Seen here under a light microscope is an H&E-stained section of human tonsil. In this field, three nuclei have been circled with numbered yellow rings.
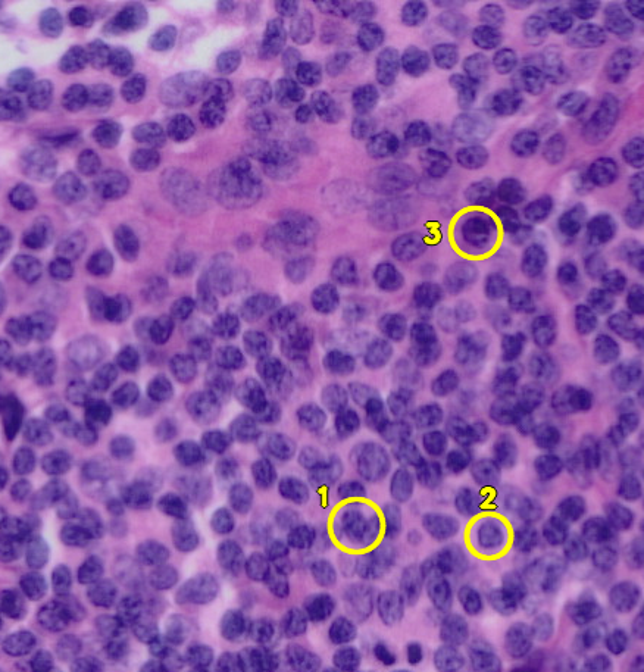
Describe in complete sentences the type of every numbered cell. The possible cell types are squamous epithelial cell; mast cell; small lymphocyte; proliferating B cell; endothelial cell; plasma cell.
Cell 1 is a small lymphocyte, cell 2 is a small lymphocyte and cell 3 is a plasma cell.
